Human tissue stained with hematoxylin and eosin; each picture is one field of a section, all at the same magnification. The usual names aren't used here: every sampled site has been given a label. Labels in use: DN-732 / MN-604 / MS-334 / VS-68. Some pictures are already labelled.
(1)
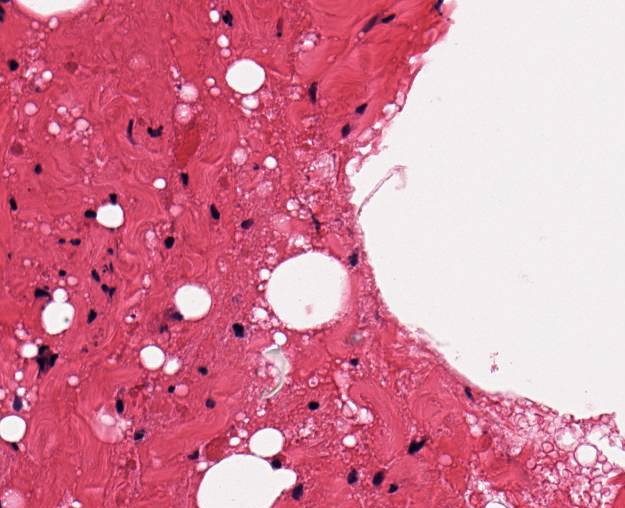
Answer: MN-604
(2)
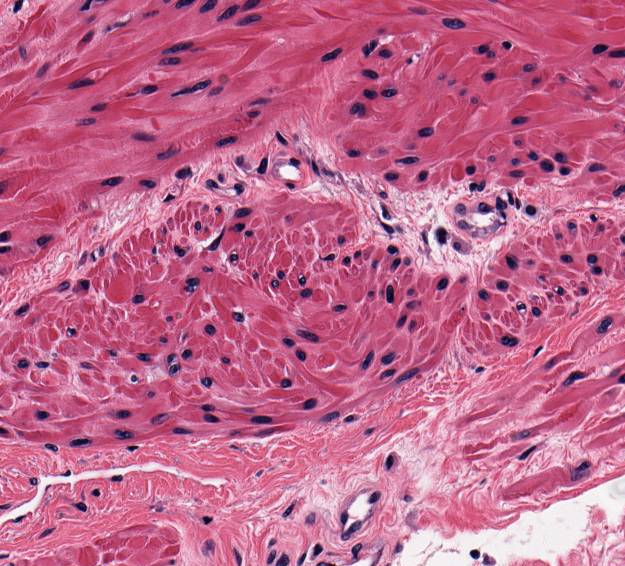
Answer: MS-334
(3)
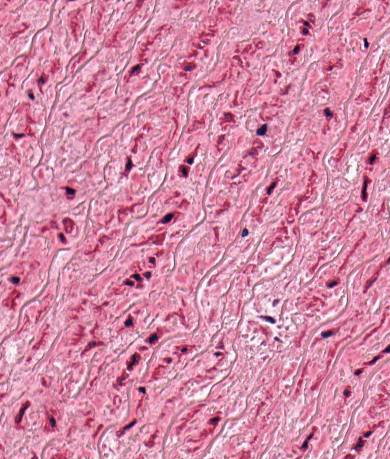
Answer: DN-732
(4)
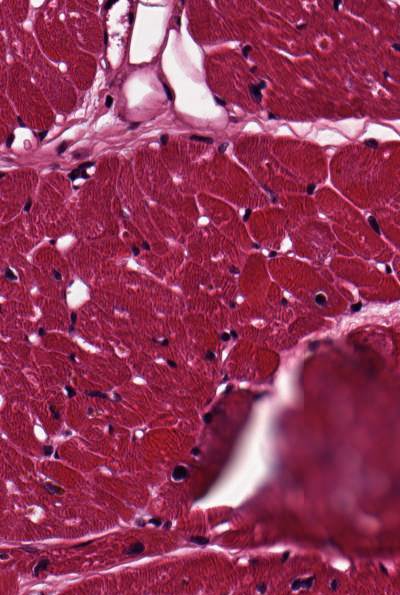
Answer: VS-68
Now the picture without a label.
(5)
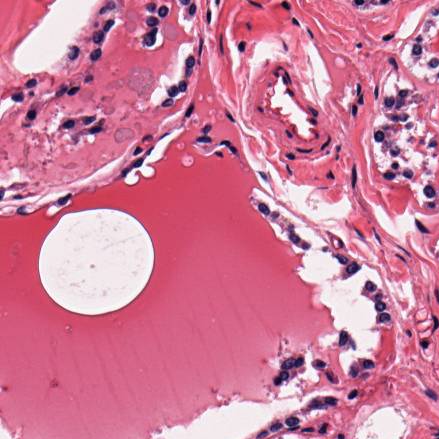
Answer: MN-604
